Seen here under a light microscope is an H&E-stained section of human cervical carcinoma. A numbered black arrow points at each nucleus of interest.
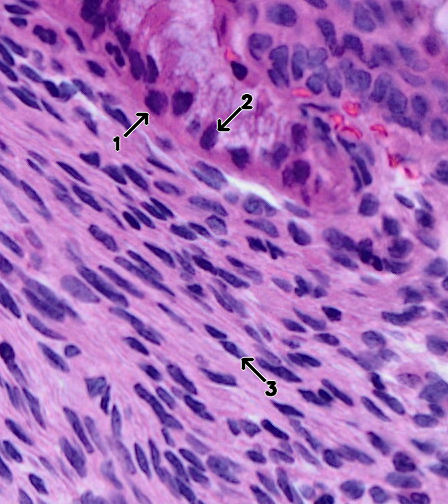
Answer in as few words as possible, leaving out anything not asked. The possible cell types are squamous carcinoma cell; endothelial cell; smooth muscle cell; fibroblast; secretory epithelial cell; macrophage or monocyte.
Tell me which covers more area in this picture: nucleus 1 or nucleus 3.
1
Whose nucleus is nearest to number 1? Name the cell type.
secretory epithelial cell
